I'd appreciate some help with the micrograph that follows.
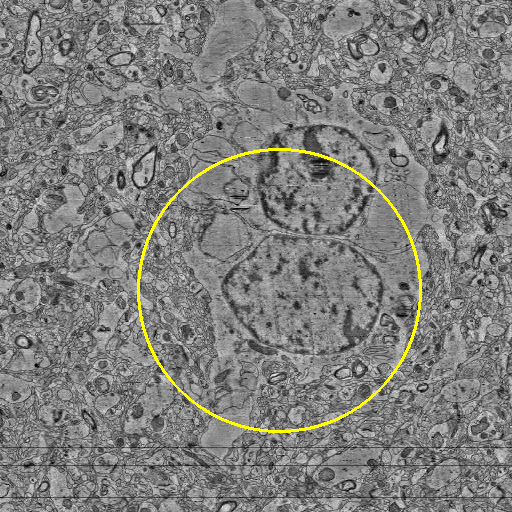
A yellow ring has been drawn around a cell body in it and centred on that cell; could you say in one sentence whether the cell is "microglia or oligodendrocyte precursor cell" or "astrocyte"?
It is an astrocyte at the centre of the ring.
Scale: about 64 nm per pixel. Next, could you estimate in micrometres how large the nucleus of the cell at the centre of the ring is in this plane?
Roughly 10 by 8 micrometres in this plane, for the nucleus of the ringed cell.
